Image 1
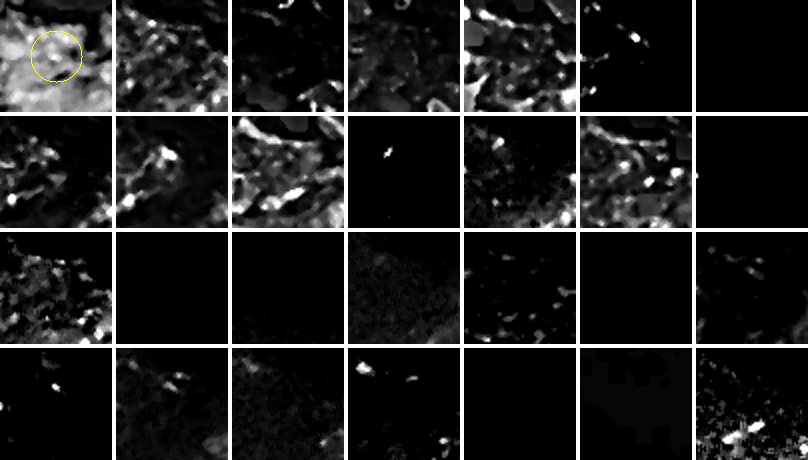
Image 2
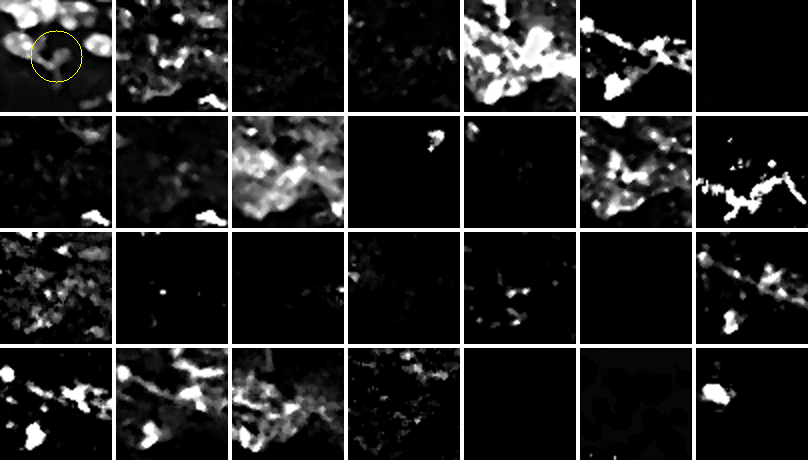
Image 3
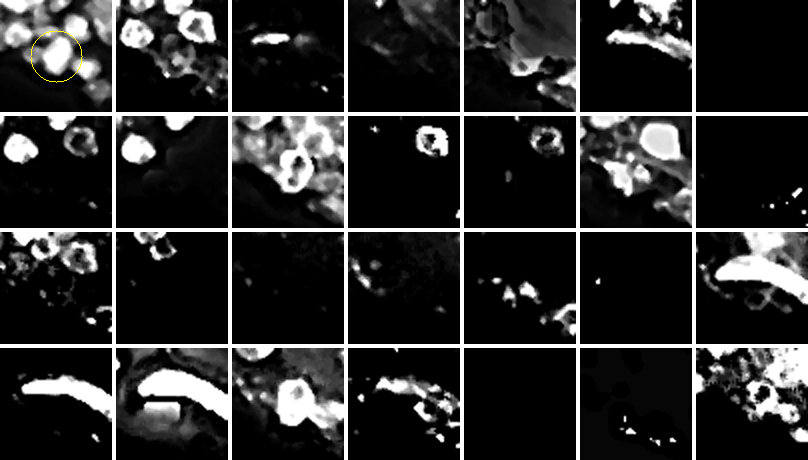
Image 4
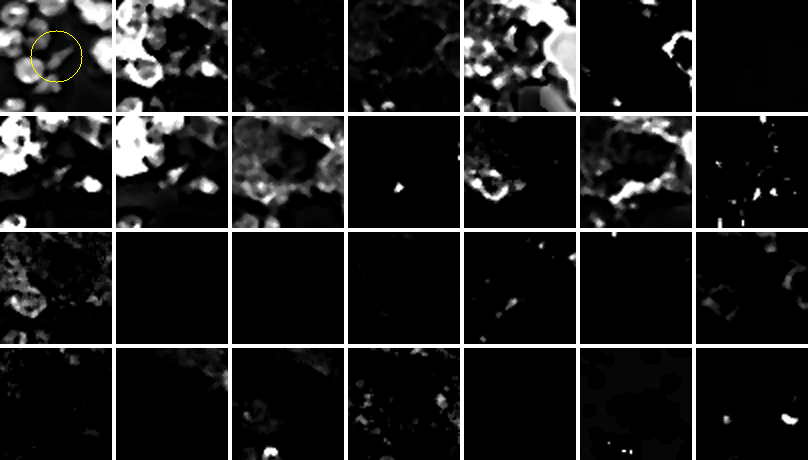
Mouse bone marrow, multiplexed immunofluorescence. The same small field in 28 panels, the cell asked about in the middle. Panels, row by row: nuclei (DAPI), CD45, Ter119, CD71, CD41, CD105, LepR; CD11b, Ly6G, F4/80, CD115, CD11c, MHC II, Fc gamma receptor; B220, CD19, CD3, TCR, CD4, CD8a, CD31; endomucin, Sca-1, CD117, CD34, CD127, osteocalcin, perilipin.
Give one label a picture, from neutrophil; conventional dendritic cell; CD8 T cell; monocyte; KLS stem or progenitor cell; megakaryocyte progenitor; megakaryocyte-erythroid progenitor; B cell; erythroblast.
Picture 1: neutrophil
Picture 2: megakaryocyte progenitor
Picture 3: KLS stem or progenitor cell
Picture 4: neutrophil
